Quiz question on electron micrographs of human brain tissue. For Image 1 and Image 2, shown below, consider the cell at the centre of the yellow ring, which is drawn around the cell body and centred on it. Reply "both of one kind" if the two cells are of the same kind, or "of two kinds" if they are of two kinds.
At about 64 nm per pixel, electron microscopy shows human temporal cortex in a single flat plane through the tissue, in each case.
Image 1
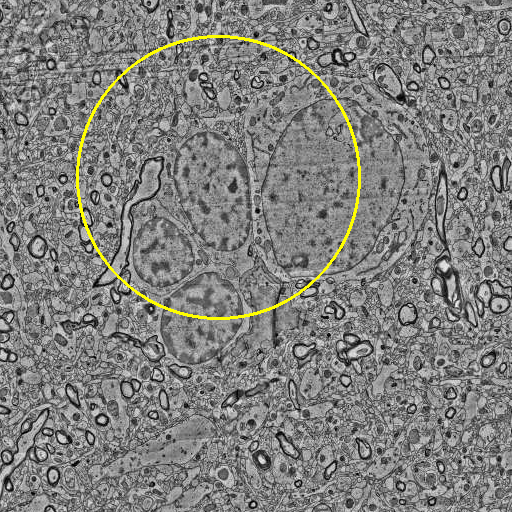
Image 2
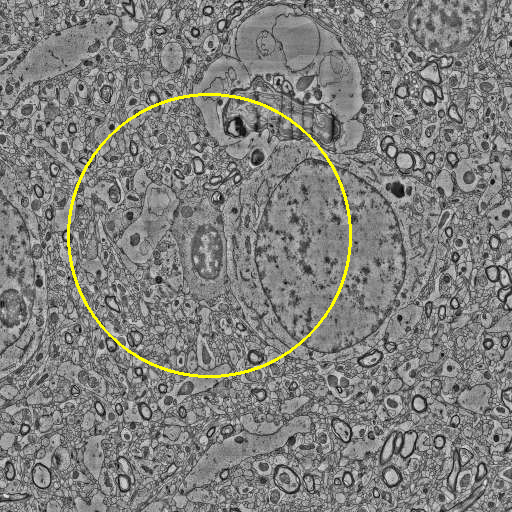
both of one kind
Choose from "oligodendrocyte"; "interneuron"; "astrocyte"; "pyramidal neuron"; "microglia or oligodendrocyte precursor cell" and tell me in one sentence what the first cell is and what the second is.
Each of the two rings surrounds an oligodendrocyte.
